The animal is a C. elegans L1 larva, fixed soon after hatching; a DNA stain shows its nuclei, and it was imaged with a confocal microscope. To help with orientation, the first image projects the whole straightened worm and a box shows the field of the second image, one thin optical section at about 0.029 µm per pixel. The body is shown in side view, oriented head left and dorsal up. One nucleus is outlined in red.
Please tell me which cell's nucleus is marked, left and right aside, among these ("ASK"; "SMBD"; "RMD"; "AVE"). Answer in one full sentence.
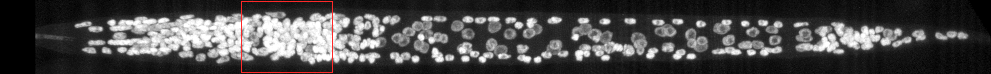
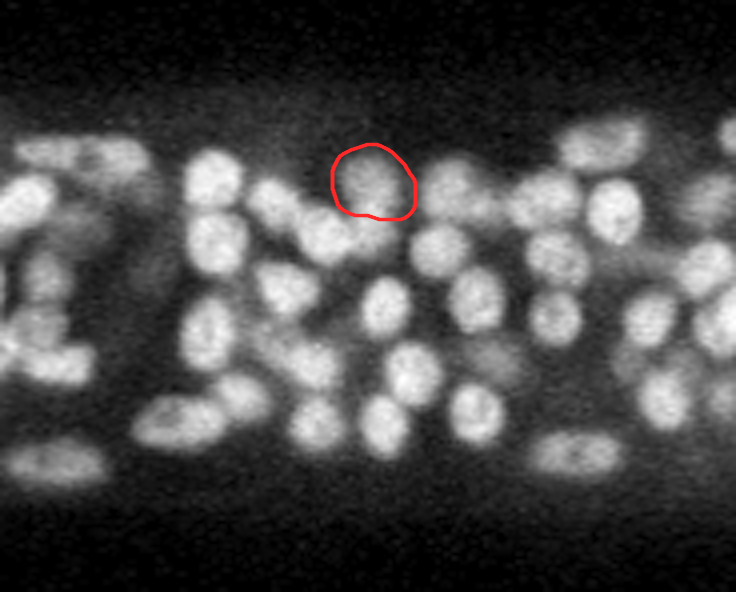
The marked nucleus belongs to ASK, a neuron.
